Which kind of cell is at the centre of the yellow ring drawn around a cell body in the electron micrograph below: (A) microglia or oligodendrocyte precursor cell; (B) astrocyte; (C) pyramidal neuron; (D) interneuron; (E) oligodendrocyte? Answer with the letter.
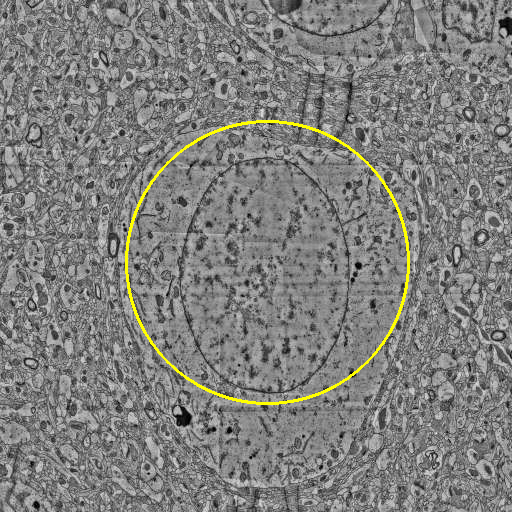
C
